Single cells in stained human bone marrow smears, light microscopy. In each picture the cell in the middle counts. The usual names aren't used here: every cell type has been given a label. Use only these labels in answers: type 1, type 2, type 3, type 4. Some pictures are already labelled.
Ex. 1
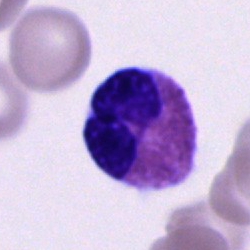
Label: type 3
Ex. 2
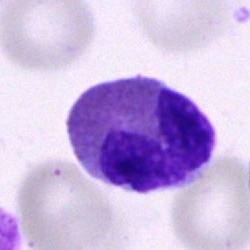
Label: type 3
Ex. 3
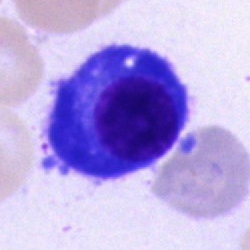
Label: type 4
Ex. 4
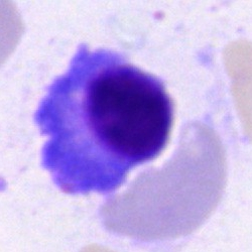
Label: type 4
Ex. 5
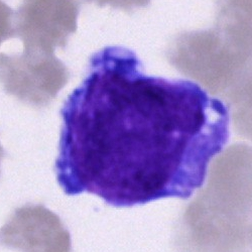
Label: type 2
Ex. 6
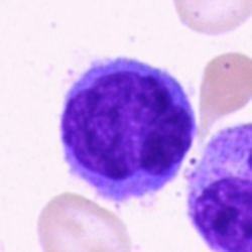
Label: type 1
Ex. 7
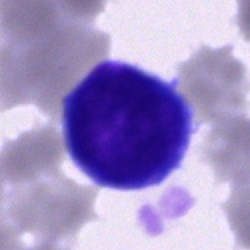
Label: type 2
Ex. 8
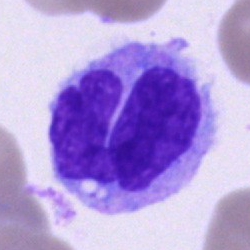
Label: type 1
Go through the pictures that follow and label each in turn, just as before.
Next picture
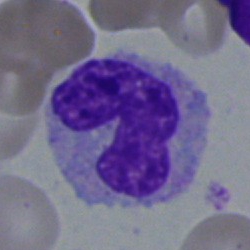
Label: type 1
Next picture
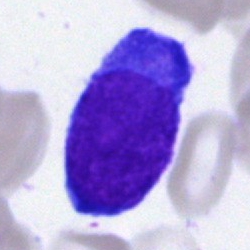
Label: type 2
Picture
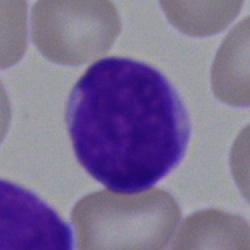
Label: type 2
